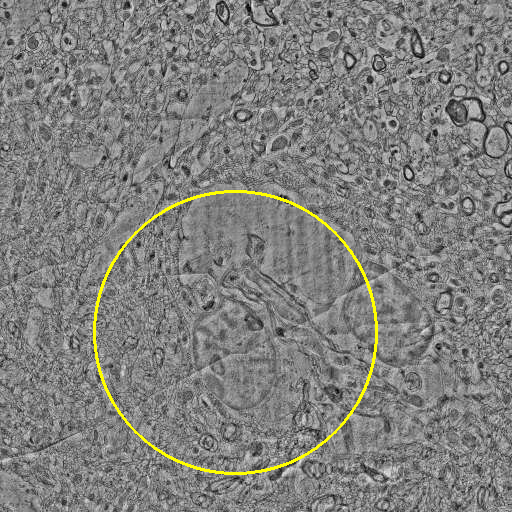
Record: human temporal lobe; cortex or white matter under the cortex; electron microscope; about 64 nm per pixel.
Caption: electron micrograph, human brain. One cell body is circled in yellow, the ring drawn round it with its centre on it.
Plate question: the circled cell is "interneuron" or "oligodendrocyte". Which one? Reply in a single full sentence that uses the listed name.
The yellow ring on the plate is centred on an oligodendrocyte, going by the listed names.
